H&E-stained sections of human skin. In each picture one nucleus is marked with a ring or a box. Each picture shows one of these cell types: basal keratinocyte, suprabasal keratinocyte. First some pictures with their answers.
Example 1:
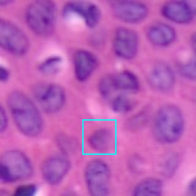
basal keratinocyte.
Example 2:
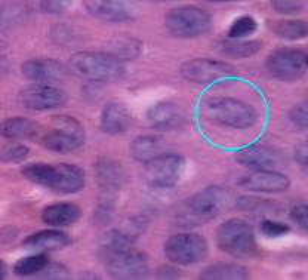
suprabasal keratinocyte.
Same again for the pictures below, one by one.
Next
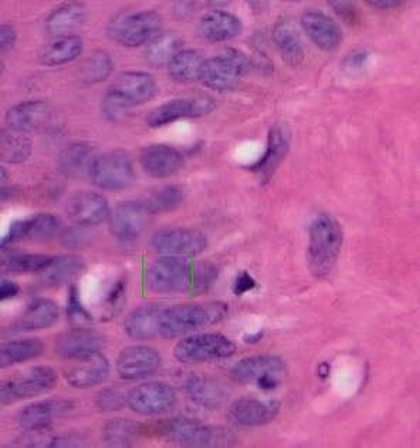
basal keratinocyte.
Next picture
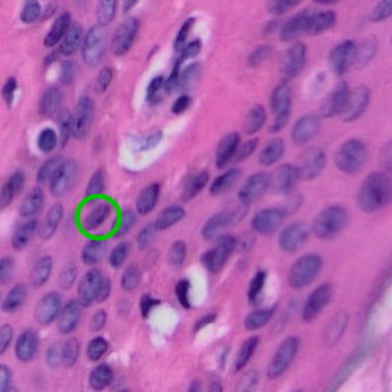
basal keratinocyte.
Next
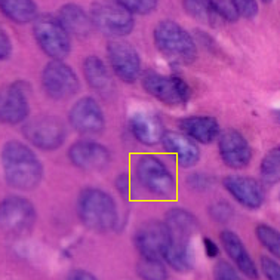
suprabasal keratinocyte.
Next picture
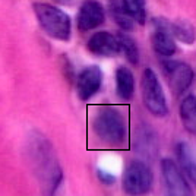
basal keratinocyte.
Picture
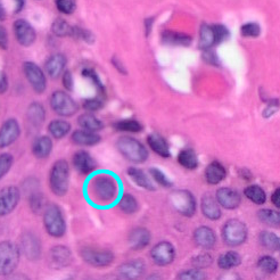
basal keratinocyte.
